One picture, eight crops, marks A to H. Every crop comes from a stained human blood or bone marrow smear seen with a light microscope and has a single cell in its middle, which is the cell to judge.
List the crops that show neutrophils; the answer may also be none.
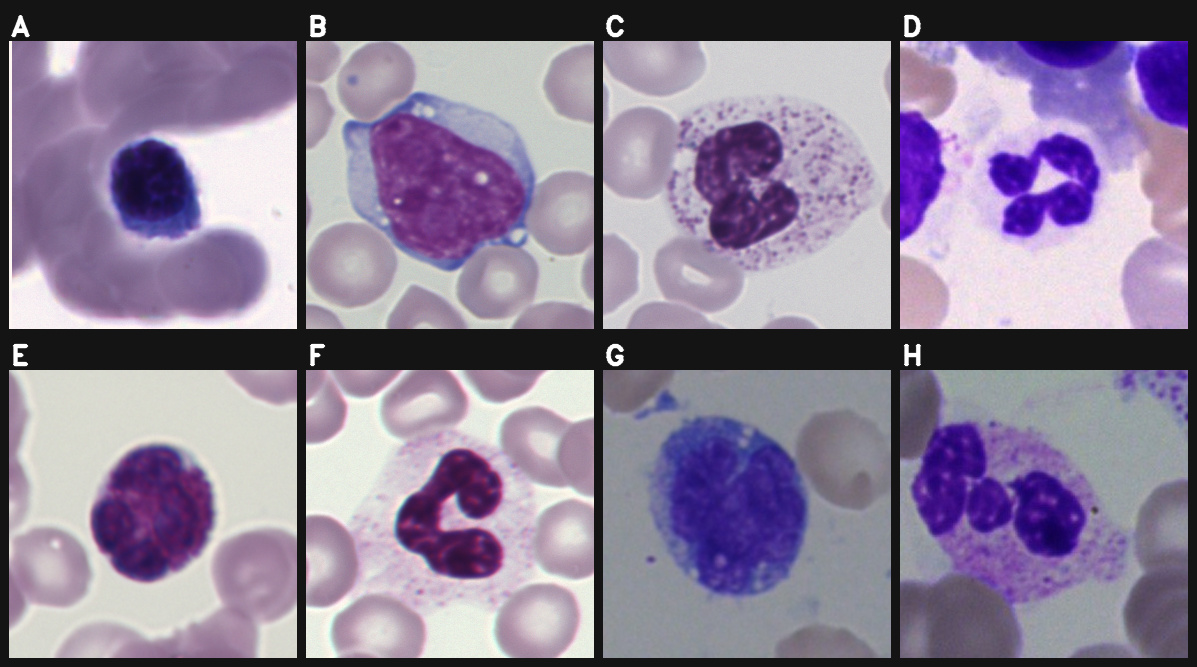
C, D, F, H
